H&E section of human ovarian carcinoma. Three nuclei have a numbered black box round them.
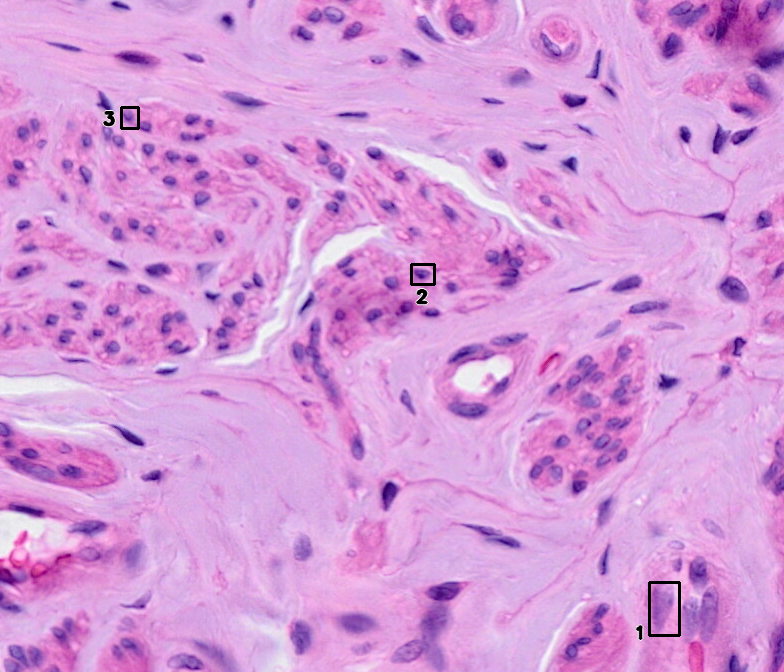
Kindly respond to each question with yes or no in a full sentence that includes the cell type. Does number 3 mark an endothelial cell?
No, cell 3 is not an endothelial cell: it is a smooth muscle cell.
